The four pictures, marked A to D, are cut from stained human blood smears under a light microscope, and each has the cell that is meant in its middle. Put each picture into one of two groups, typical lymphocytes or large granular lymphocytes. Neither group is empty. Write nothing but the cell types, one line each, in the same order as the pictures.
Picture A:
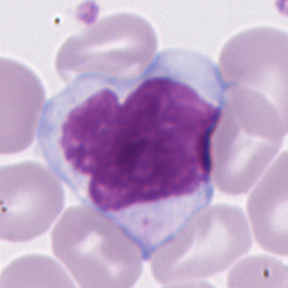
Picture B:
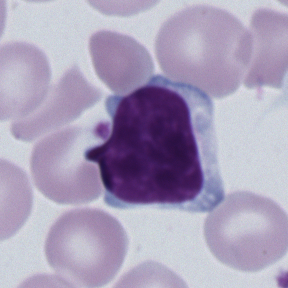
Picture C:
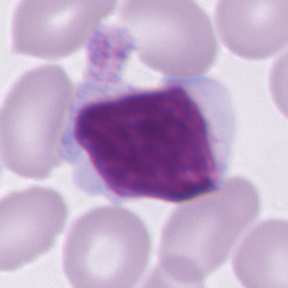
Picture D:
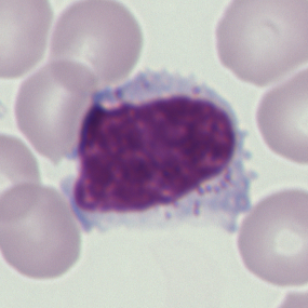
large granular lymphocyte
typical lymphocyte
large granular lymphocyte
large granular lymphocyte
